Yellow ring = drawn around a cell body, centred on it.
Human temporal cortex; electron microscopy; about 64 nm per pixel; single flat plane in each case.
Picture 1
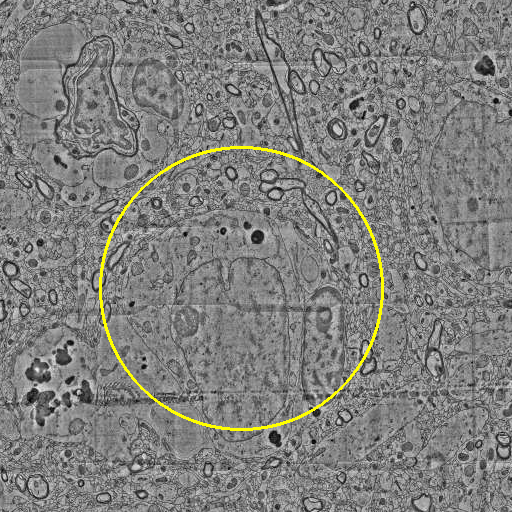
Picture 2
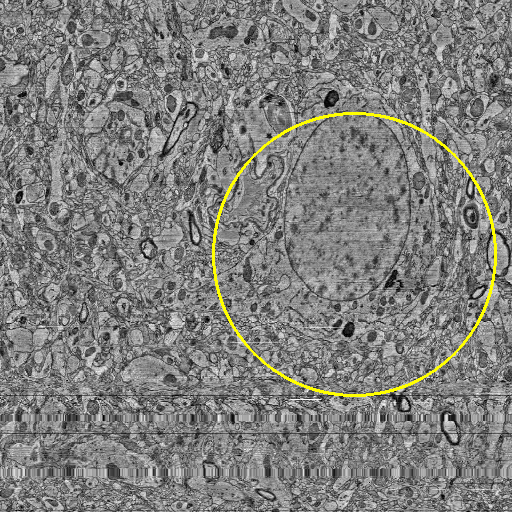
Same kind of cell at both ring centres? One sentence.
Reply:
Yes, they are the same kind of cell.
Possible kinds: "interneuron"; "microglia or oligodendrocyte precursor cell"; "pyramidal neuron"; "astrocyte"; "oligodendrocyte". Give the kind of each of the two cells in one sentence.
In the first picture and in the second, the ring is centred on a pyramidal neuron.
